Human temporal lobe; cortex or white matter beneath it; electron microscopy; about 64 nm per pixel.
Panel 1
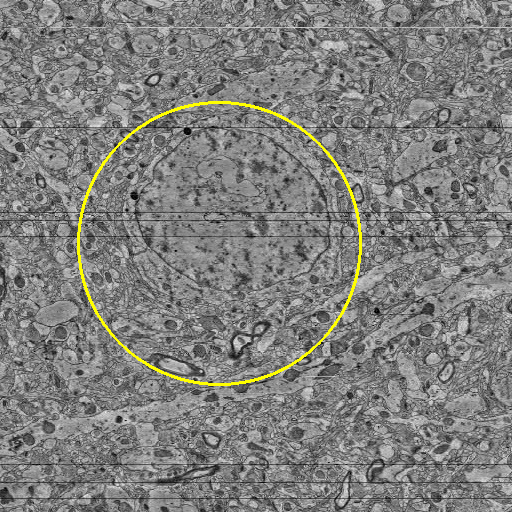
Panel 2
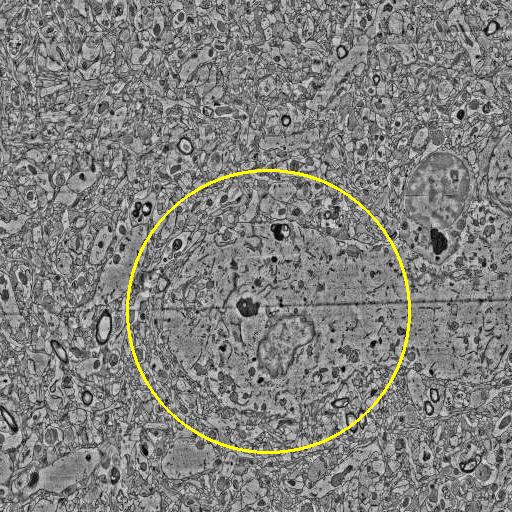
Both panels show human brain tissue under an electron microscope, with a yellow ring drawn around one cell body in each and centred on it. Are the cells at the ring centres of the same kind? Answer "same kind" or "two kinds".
same kind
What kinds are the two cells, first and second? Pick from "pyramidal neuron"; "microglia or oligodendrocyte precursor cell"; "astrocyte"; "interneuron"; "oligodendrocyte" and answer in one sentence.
Each of the ringed cells, first and second, is a pyramidal neuron.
